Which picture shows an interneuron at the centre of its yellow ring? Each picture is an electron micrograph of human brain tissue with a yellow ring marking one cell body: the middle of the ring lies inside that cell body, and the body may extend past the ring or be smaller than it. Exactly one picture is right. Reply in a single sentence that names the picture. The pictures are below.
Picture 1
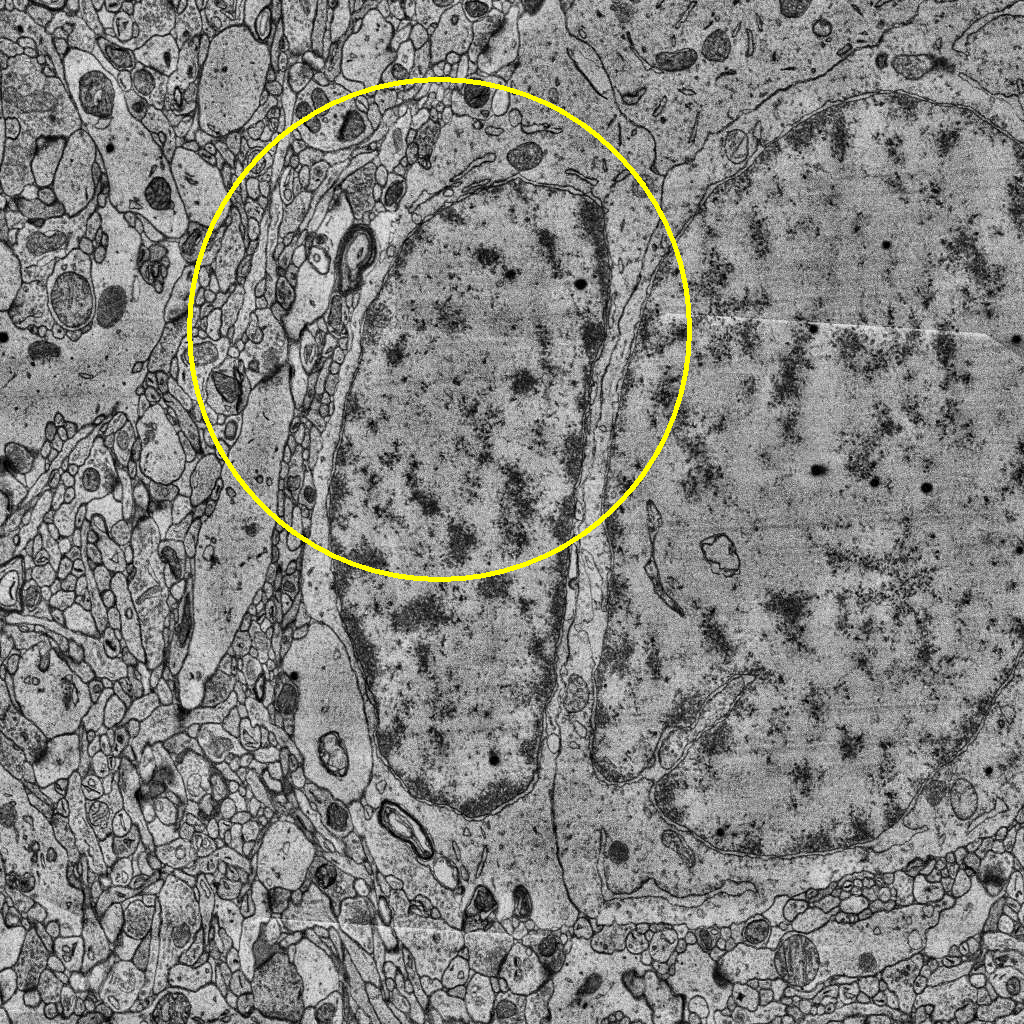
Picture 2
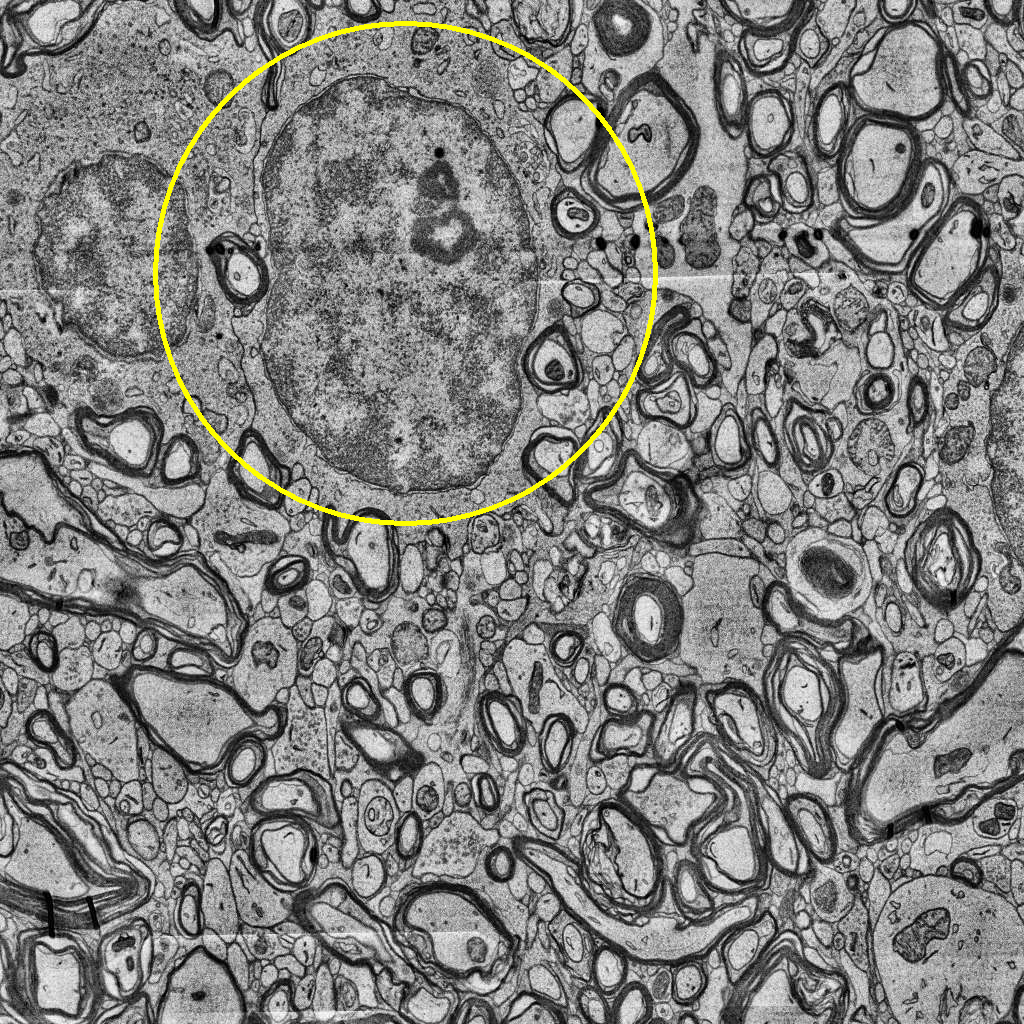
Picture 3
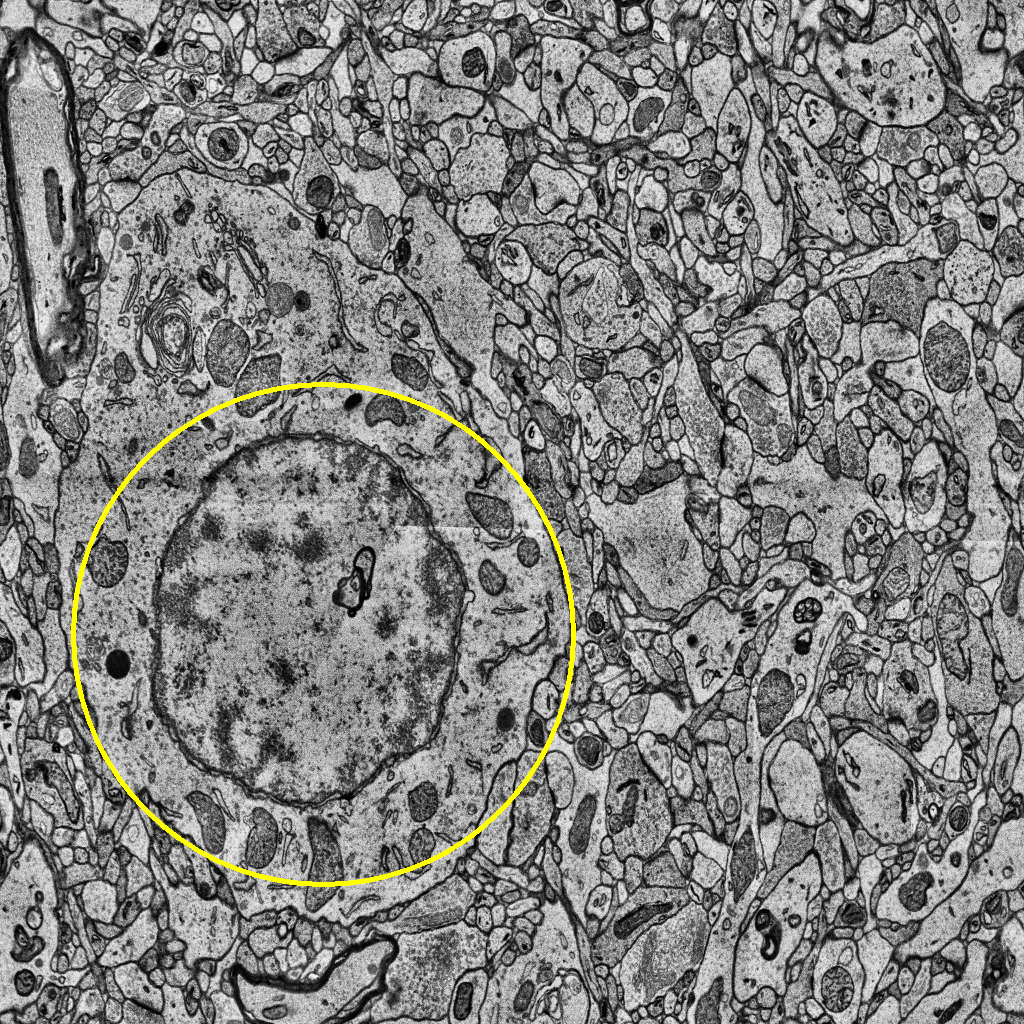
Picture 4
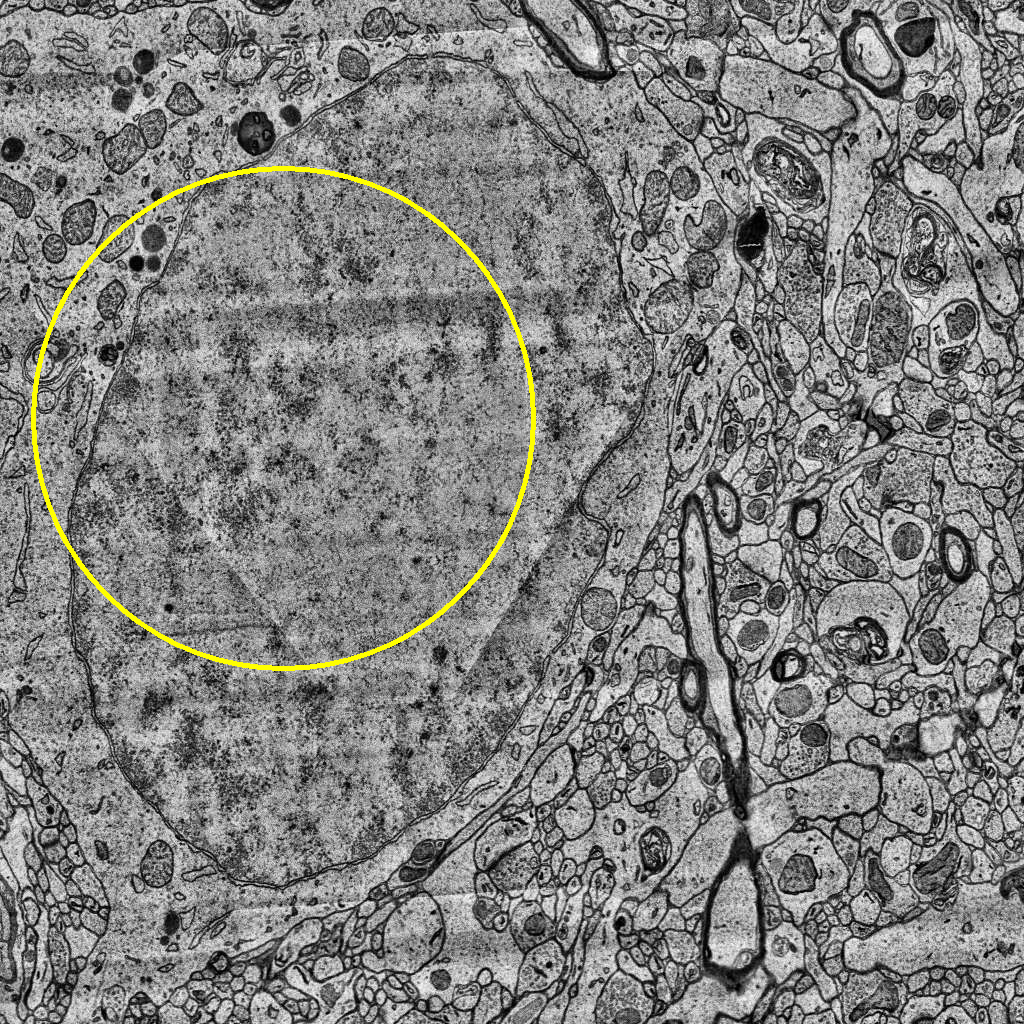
Picture 4 shows it.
